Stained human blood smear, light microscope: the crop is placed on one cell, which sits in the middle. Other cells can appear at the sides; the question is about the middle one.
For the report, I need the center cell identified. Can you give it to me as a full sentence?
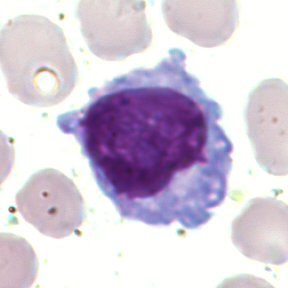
Standing at the centre of this crop is a plasma cell.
